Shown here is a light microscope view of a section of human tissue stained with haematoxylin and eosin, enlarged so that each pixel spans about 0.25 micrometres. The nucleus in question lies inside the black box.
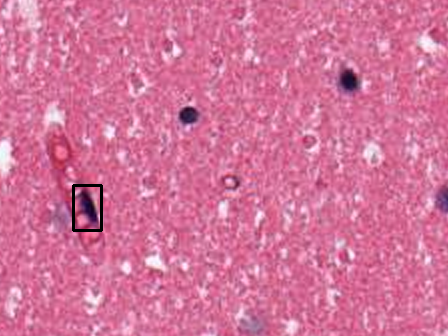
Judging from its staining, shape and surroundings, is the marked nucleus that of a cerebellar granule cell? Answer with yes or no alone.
no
